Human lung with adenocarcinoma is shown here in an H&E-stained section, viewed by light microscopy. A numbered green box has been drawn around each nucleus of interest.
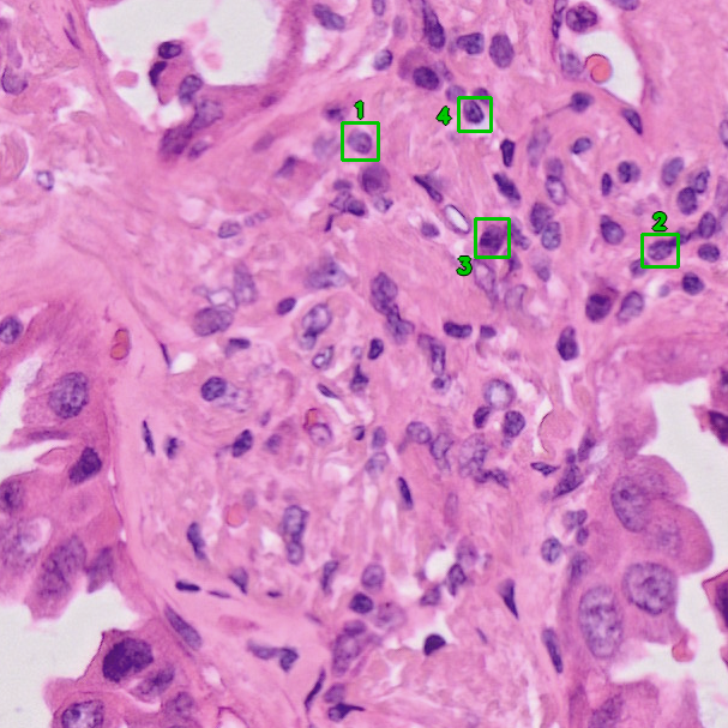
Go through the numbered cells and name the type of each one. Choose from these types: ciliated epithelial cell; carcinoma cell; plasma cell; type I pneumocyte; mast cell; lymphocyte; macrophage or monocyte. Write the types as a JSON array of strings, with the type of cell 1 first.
["lymphocyte", "lymphocyte", "plasma cell", "lymphocyte"]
